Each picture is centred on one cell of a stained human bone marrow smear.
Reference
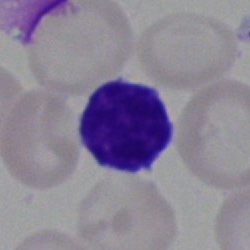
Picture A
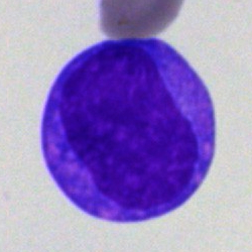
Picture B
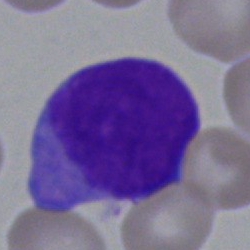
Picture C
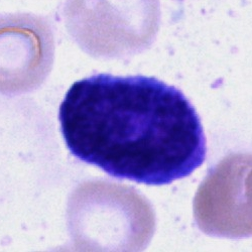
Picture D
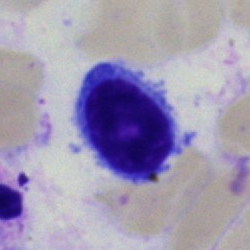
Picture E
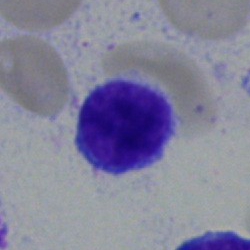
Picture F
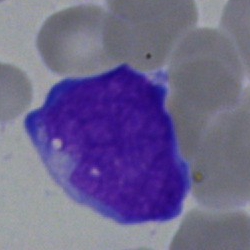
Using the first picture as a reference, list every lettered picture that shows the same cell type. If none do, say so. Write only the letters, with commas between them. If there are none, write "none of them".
D, E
